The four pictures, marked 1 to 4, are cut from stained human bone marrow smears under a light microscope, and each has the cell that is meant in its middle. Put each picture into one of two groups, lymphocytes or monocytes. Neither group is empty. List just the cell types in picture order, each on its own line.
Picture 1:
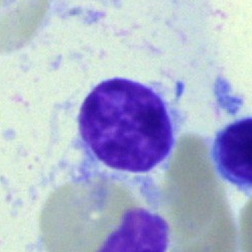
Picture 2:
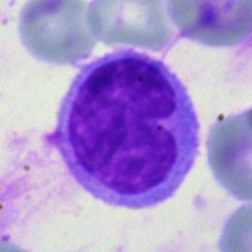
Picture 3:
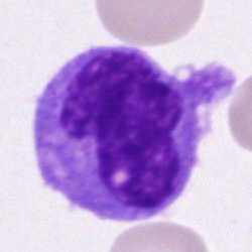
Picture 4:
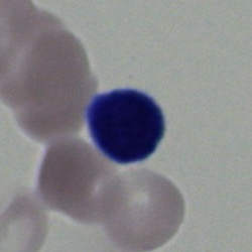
lymphocyte
monocyte
monocyte
lymphocyte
